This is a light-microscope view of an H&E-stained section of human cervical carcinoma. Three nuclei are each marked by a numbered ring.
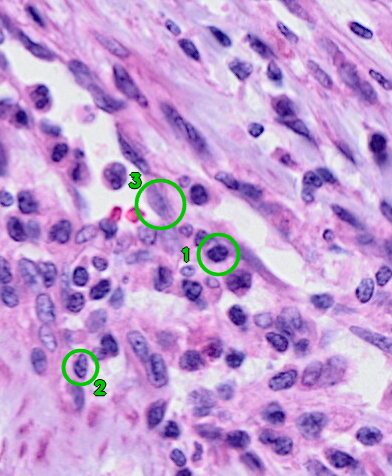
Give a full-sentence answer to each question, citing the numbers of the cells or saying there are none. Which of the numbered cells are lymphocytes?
The cells the numbers 1 and 2 point to are lymphocytes.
